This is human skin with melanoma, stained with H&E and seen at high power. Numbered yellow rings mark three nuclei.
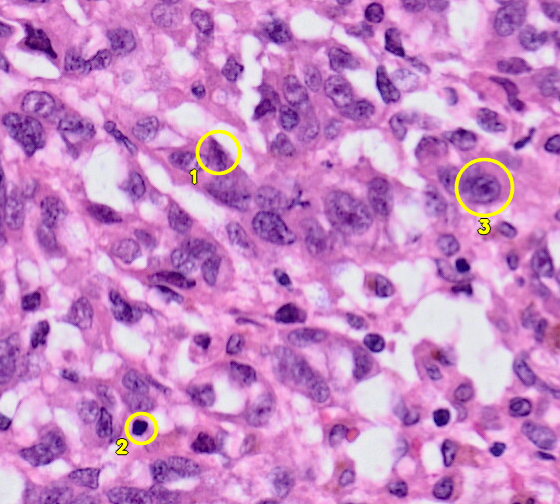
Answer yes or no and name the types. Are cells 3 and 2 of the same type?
No, cell 3 is a melanoma cell, and cell 2, in contrast, is a lymphocyte.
